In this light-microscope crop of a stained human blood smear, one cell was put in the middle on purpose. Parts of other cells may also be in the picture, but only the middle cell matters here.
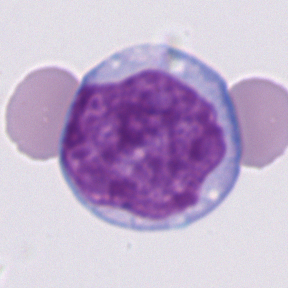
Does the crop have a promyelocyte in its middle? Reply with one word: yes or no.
no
